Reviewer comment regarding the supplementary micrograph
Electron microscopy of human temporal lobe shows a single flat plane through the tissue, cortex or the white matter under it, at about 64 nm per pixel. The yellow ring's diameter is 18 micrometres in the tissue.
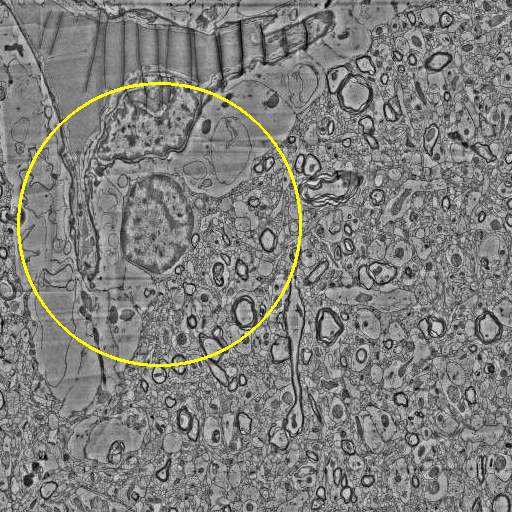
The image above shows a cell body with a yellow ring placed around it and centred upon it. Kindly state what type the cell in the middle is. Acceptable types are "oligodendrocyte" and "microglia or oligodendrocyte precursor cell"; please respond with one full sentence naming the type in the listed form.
In the image above, the cell on which the yellow ring is centred is an oligodendrocyte.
